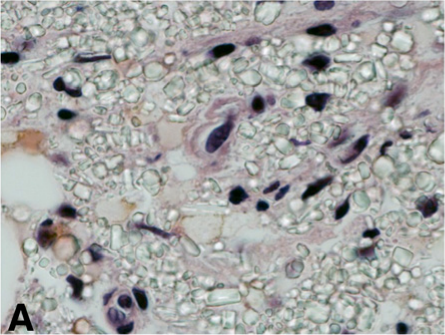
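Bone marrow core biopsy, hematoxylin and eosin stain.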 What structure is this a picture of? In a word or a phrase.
Cystine crystals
